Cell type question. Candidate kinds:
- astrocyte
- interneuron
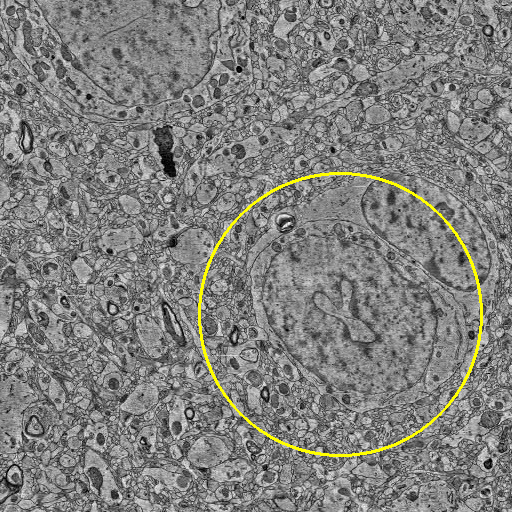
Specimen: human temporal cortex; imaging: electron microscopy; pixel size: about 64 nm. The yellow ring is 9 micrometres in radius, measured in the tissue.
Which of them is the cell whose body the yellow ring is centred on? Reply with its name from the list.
interneuron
